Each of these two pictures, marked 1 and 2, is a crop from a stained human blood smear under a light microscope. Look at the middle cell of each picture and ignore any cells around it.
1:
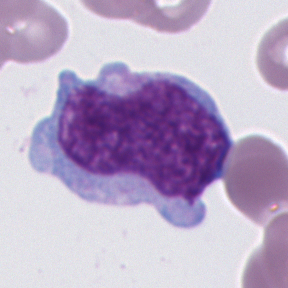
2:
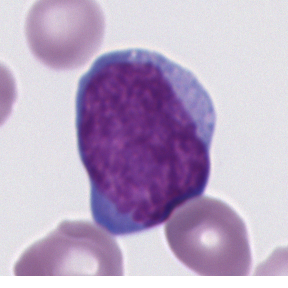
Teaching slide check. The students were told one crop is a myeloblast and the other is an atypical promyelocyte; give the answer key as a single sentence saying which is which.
The correct labels are an atypical promyelocyte for crop 1 and a myeloblast for crop 2.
